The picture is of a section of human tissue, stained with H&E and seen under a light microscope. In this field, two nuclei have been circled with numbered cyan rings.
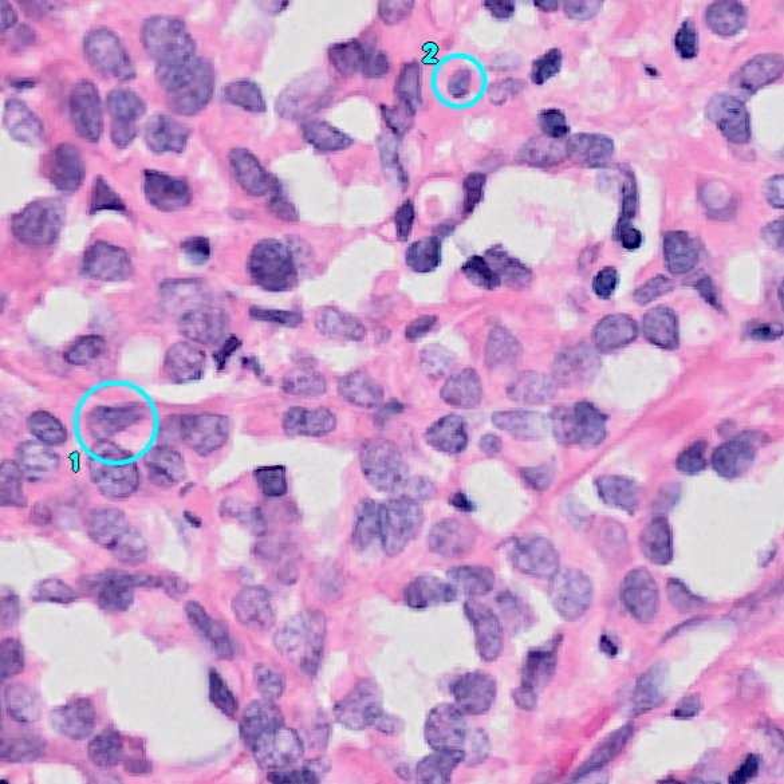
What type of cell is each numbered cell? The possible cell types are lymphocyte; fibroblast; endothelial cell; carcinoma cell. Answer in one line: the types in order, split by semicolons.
carcinoma cell; lymphocyte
